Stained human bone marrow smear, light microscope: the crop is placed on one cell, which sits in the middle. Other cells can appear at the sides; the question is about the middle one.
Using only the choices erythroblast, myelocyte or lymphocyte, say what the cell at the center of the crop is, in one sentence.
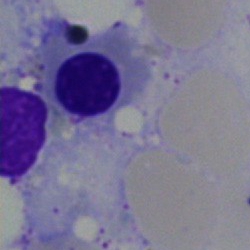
The middle position in this crop is taken by an erythroblast.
